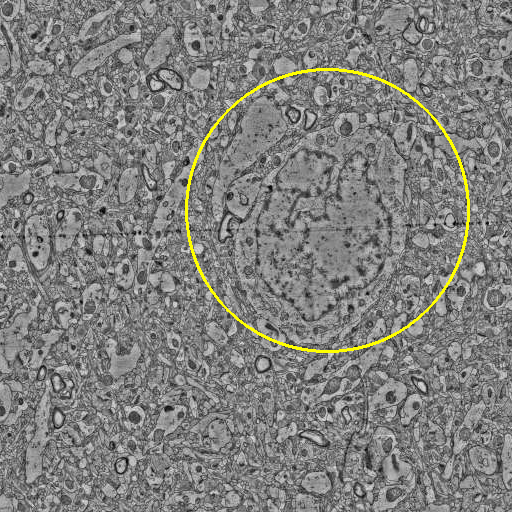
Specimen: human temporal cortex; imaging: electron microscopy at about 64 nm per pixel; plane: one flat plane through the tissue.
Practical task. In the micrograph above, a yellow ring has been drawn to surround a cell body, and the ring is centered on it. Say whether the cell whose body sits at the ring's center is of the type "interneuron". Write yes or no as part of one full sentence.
Yes, the cell at the center of the ring above is of the type asked about.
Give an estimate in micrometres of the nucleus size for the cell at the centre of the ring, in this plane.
The nucleus comes to roughly 11 by 9 micrometres in this plane.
